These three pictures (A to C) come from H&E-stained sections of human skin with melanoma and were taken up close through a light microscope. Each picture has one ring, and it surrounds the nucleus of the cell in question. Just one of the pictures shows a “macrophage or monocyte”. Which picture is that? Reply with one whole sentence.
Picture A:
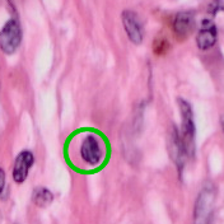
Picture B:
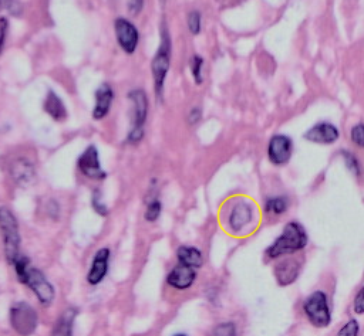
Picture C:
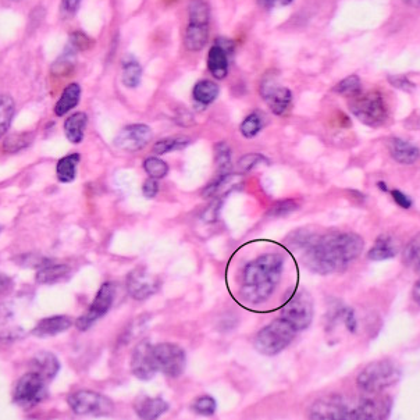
Picture B is the one that shows the “macrophage or monocyte”.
